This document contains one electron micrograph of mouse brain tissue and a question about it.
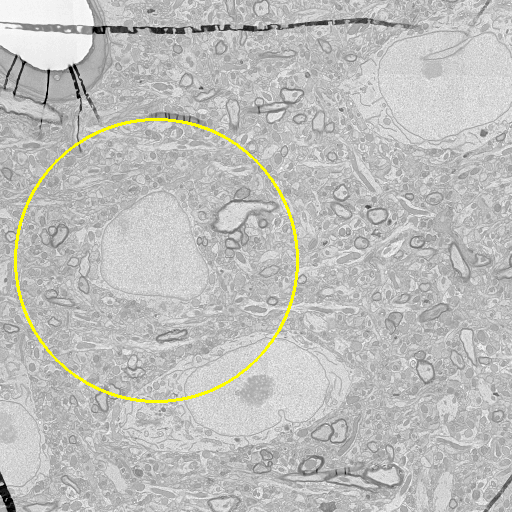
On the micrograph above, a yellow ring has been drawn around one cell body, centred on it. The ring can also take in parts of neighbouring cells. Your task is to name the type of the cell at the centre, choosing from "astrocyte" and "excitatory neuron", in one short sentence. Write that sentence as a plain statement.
Here the ring is centred on an astrocyte.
